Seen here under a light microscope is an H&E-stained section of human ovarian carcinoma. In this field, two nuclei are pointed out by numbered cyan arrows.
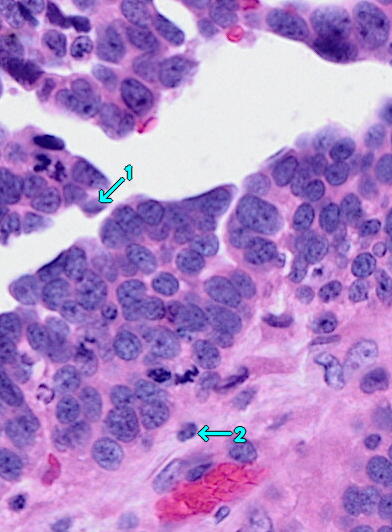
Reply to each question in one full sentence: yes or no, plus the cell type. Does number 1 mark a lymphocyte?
No, cell 1 is to be classed as a carcinoma cell, not a lymphocyte.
